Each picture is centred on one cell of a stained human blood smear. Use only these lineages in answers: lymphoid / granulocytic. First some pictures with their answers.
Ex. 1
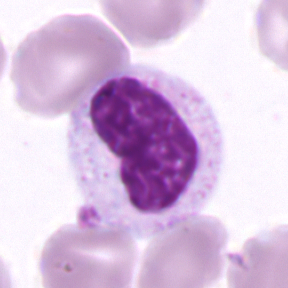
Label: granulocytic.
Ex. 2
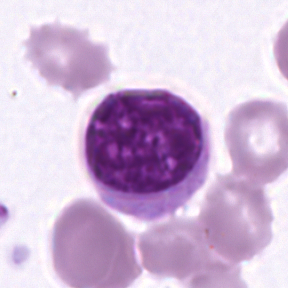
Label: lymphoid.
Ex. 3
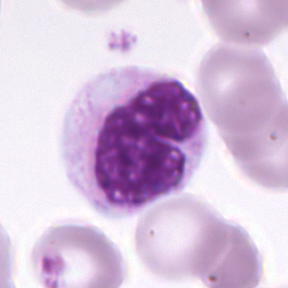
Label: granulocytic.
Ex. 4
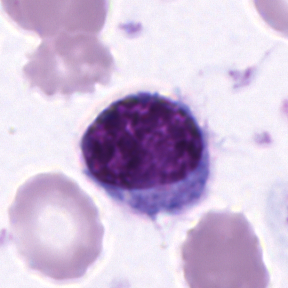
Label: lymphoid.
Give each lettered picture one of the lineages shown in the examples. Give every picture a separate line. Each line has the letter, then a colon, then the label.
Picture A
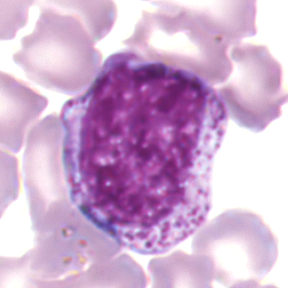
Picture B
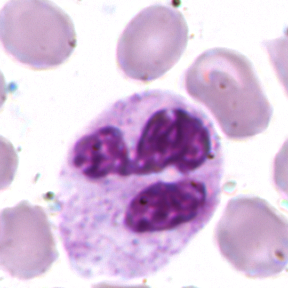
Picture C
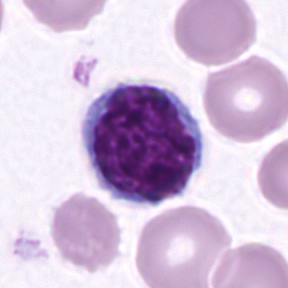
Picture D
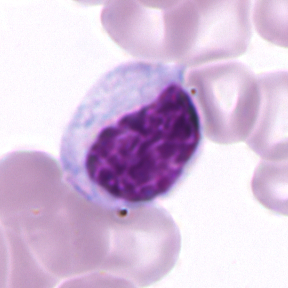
A: granulocytic.
B: granulocytic.
C: lymphoid.
D: granulocytic.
